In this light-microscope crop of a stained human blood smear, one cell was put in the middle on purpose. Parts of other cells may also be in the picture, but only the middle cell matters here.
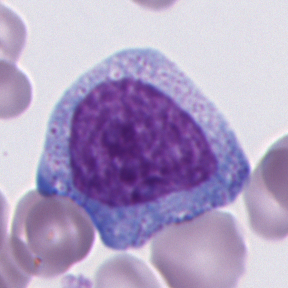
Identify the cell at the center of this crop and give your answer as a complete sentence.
The crop's centre is taken up by a promyelocyte.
